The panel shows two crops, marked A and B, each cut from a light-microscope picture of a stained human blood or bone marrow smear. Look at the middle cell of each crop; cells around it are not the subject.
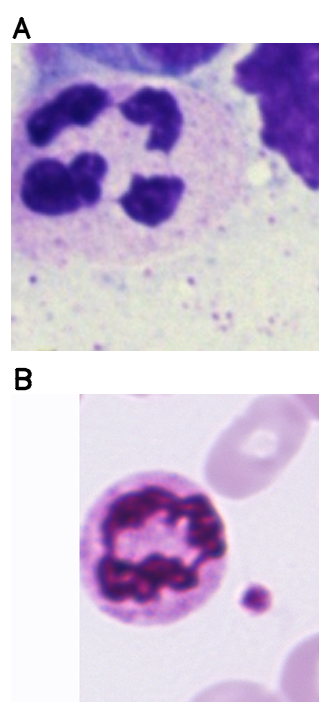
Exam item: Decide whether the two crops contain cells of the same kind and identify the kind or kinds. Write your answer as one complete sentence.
Yes, both crops have segmented neutrophils as their central cells.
